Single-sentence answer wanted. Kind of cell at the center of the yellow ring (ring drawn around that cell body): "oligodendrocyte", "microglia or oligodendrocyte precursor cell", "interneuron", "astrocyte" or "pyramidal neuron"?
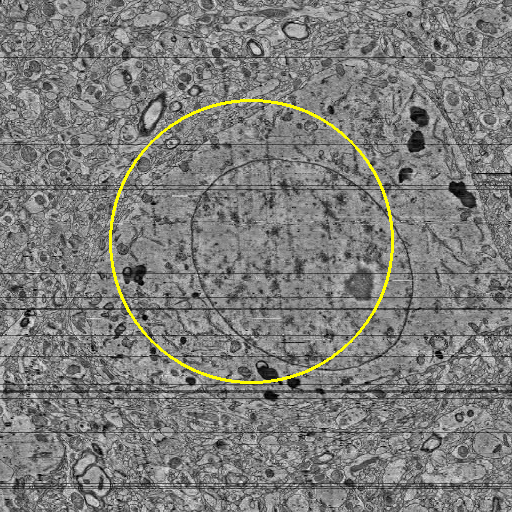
The cell centered in the ring is a pyramidal neuron.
